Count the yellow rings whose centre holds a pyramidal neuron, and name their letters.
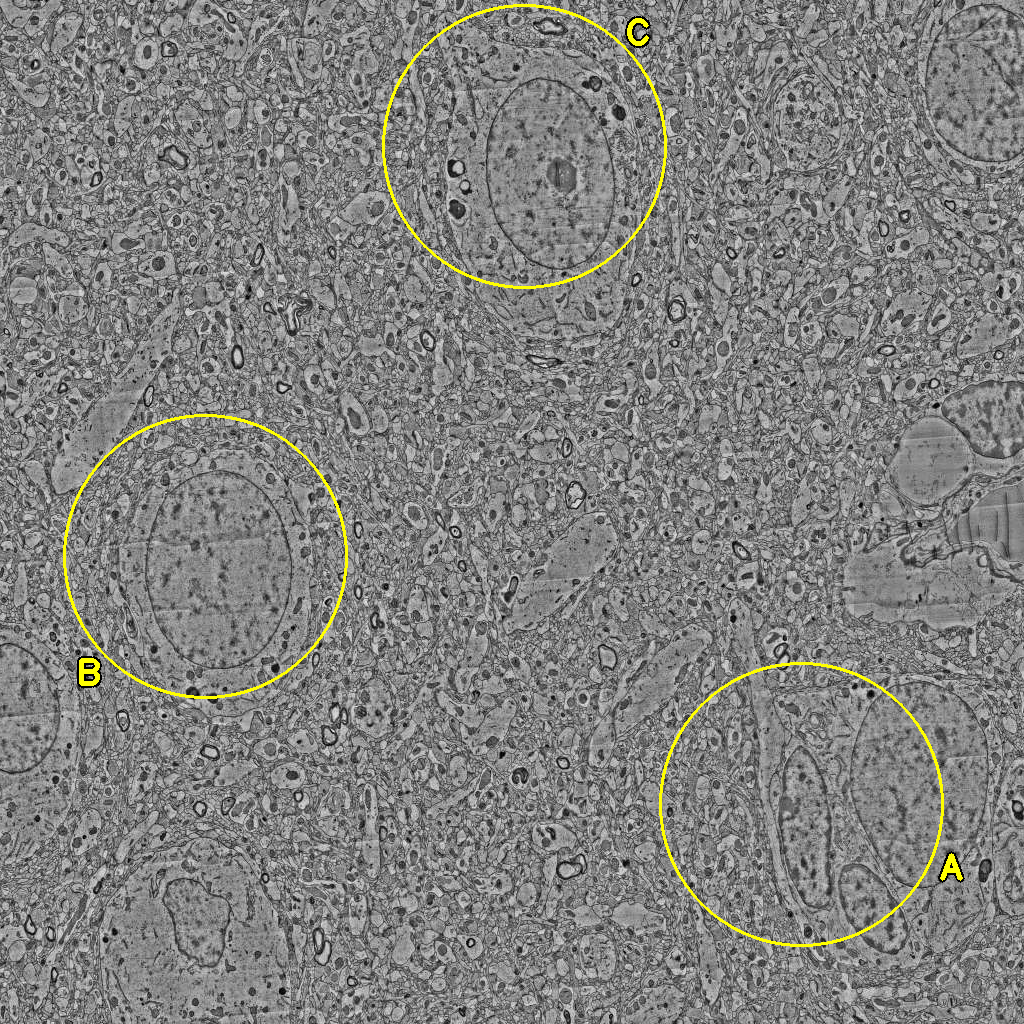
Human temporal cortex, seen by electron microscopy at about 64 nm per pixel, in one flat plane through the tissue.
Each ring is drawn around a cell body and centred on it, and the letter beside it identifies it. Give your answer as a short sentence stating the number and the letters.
Marked by the letters B and C, two rings are each centred on a pyramidal neuron.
